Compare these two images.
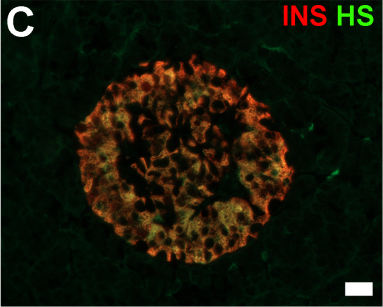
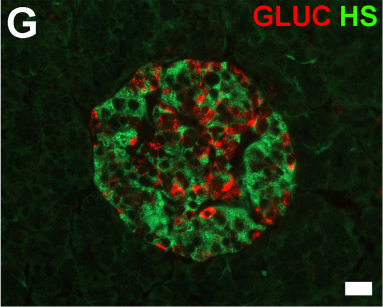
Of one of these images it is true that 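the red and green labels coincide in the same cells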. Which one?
The first image.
